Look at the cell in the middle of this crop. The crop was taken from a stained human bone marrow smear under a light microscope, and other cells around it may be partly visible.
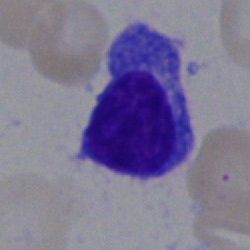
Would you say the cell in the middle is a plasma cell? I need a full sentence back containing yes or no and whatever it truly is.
Yes, the cell occupying the center is a plasma cell.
